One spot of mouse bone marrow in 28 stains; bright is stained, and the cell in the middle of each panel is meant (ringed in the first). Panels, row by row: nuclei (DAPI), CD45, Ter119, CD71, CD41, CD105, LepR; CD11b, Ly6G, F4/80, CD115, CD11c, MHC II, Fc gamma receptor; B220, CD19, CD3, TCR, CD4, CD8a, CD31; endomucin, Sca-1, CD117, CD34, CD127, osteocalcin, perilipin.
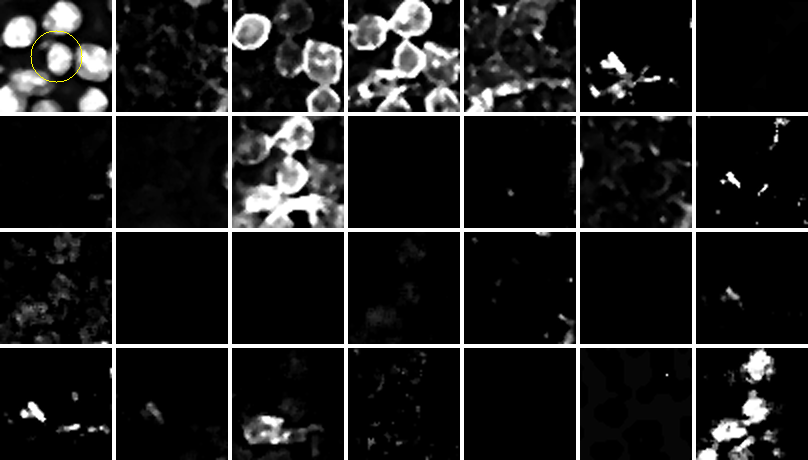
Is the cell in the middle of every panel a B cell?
No, it is an erythroblast.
